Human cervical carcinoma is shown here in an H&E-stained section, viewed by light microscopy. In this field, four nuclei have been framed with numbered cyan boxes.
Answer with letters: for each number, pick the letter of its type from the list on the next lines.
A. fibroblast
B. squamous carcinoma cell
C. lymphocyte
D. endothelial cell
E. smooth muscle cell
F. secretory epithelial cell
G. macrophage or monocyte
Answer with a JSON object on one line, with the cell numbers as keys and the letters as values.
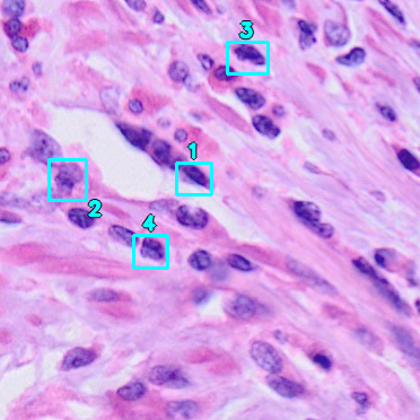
{"1": "C", "2": "G", "3": "C", "4": "C"}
